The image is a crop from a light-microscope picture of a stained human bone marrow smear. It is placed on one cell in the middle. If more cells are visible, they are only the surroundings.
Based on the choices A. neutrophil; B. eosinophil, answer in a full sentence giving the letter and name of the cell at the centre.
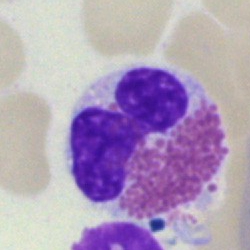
The central cell is an eosinophil, which makes option B the right answer.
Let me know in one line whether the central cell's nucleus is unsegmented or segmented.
Counting the nuclear lobes gives a total of at least two.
